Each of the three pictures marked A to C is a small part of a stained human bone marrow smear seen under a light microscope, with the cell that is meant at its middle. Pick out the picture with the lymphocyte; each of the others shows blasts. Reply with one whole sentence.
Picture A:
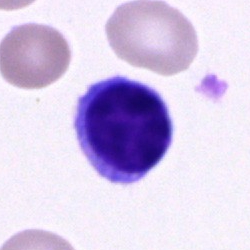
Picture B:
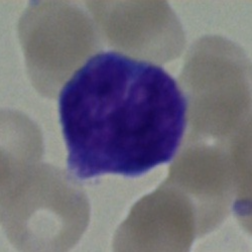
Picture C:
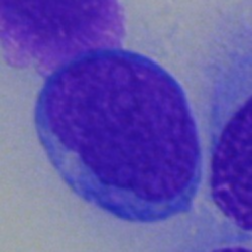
Picture A shows the lymphocyte.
